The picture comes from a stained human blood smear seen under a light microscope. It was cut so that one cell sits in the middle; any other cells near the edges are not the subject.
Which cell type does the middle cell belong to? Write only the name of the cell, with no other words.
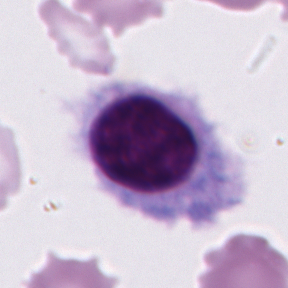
hairy cell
